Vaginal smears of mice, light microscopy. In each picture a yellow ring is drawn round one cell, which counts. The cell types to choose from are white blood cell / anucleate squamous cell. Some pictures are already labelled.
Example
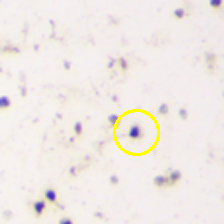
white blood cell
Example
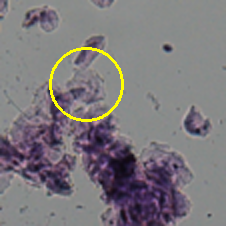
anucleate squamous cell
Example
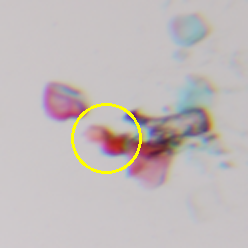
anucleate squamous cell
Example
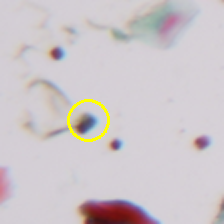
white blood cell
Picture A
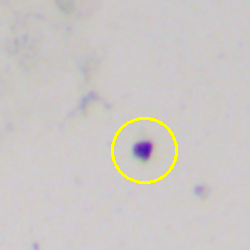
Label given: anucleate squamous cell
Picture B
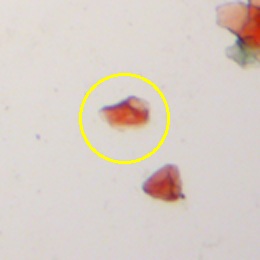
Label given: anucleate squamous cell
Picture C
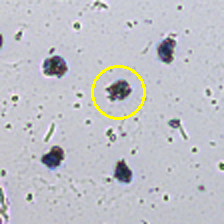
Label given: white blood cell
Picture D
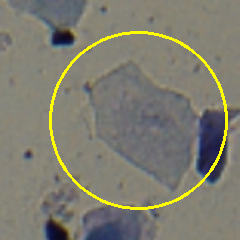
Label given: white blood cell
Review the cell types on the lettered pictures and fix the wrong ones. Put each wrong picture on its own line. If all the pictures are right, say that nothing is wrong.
A should be white blood cell, not anucleate squamous cell
D should be anucleate squamous cell, not white blood cell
